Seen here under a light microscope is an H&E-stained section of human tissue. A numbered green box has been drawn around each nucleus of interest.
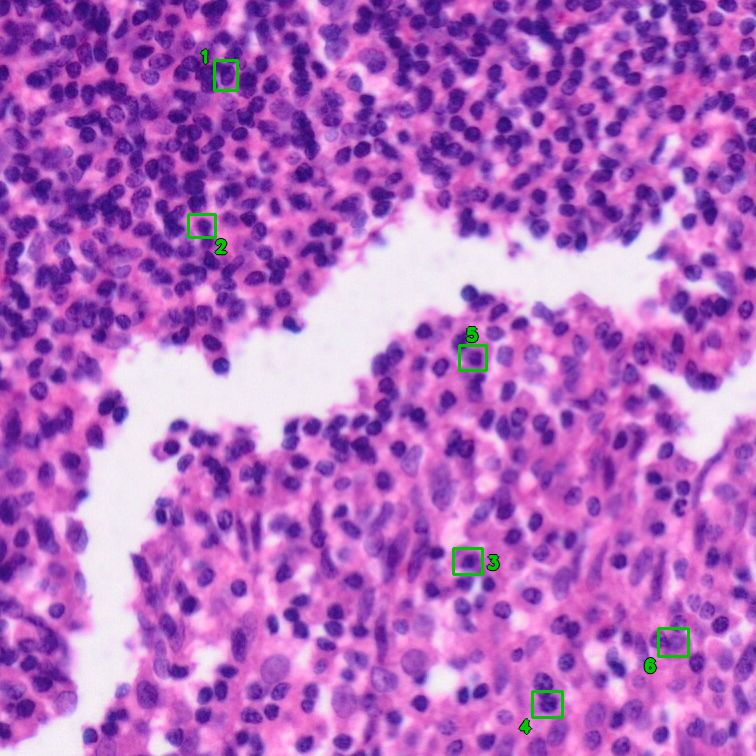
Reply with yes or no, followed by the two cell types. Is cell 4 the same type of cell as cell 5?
Yes, both are plasma cells.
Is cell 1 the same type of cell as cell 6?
No, cell 1 is a small lymphocyte and cell 6 is a plasma cell.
